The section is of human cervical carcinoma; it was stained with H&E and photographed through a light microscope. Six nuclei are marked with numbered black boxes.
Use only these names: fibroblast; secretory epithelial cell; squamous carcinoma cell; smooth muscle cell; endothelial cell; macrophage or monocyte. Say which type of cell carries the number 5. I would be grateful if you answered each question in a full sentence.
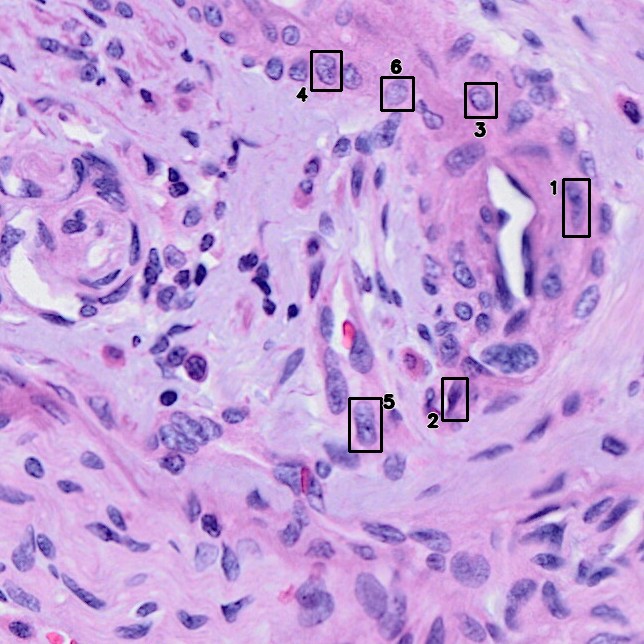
That cell with number 5 is an endothelial cell.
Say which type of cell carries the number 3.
Cell number 3 in this section is a smooth muscle cell.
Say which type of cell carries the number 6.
Cell 6 is classified as a smooth muscle cell.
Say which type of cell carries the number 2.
The mark numbered 2 indicates the nucleus of an endothelial cell.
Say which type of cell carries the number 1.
Cell 1 should be recorded as a smooth muscle cell.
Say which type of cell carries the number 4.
What the number 4 marks in this field is a smooth muscle cell.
